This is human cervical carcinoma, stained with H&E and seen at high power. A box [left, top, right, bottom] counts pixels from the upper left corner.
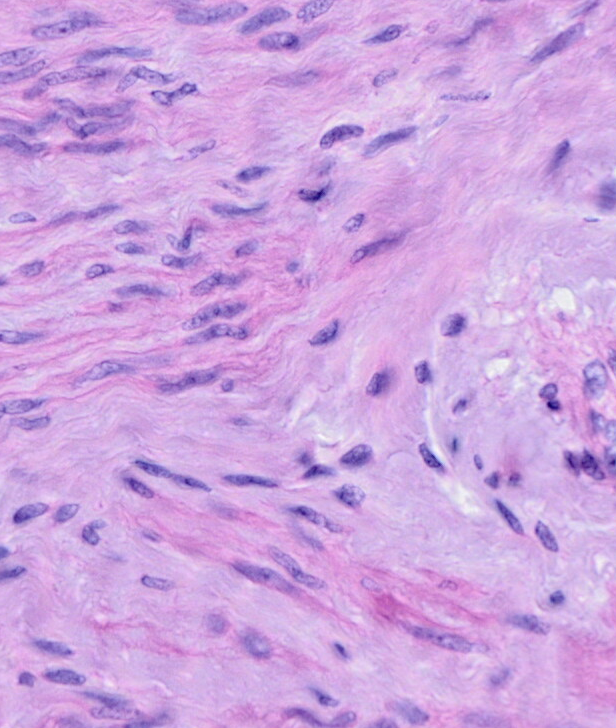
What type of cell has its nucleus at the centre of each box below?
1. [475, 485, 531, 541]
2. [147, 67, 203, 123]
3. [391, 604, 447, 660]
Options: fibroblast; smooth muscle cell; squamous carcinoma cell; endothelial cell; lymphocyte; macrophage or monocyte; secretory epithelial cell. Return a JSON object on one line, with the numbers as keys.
{"1": "fibroblast", "2": "fibroblast", "3": "smooth muscle cell"}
